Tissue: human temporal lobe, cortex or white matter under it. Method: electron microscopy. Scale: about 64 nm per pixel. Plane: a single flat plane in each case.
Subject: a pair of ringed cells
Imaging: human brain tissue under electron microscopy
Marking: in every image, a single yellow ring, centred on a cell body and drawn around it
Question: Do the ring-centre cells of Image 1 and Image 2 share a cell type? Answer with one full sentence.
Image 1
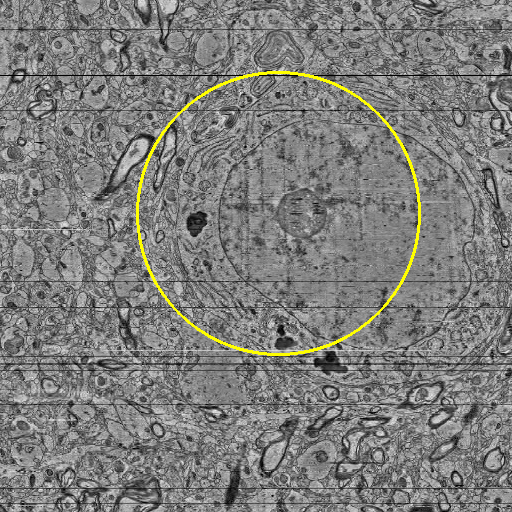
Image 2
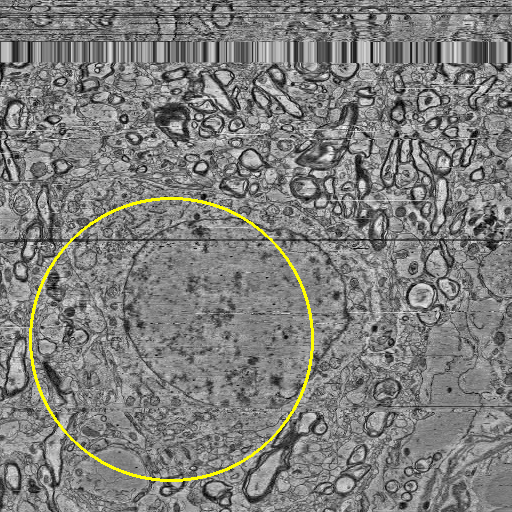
No, at the ring centres in the images sit cells of two separate types.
